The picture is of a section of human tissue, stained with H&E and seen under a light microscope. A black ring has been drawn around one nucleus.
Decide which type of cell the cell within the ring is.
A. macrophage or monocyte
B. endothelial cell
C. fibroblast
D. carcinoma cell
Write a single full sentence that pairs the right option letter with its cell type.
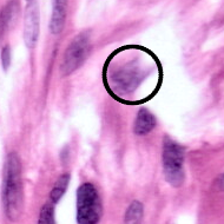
Of the options offered, C is correct, as the cell within the ring is a fibroblast.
